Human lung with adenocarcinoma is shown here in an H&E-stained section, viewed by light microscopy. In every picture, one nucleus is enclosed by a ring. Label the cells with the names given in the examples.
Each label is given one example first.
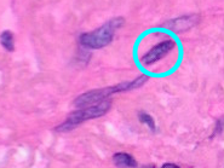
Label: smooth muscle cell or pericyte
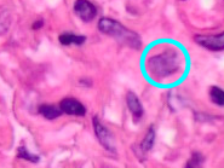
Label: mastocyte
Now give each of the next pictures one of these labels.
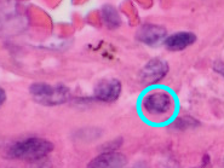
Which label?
mastocyte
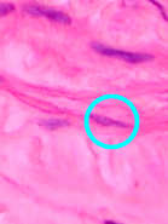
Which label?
smooth muscle cell or pericyte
